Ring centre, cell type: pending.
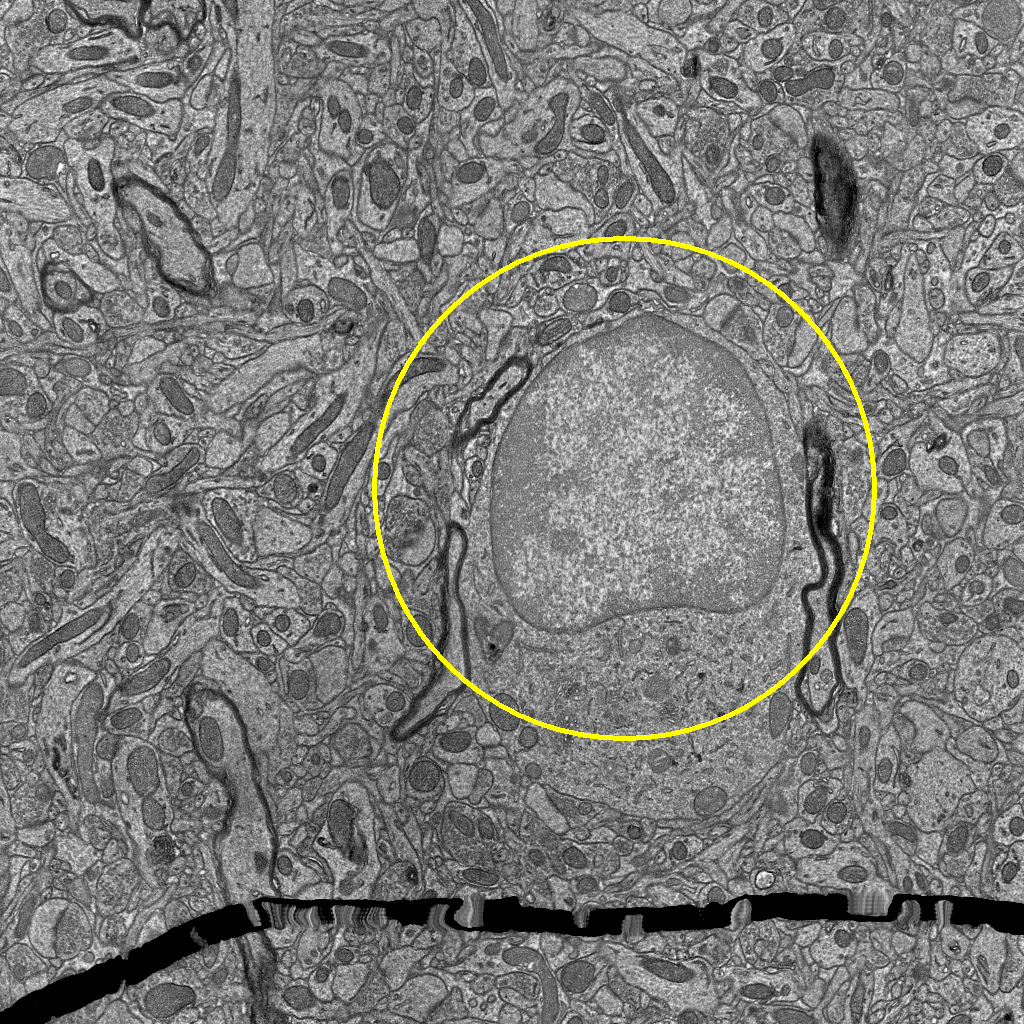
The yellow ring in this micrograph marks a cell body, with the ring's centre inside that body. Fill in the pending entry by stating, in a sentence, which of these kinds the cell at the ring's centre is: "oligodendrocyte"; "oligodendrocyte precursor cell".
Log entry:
The cell at the ring's centre is recorded as an oligodendrocyte.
